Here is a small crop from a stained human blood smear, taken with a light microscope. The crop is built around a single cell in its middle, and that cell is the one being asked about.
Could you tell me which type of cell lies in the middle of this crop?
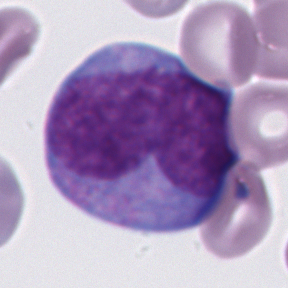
promyelocyte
